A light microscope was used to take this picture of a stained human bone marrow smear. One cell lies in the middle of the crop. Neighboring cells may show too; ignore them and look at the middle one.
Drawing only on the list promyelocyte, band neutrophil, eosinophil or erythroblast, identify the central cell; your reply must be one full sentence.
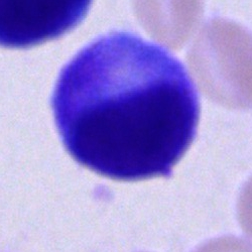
By type, the central cell of the crop is a promyelocyte.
